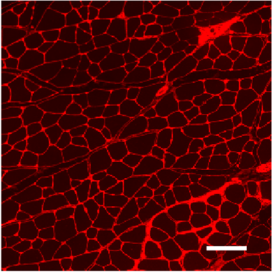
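This is a transverse section of skeletal muscle showing many muscle fibers cut across as polygonal profiles. Each fiber is bordered by a thin red outline and has a dark, unstained interior. The fibers vary somewhat in size, with smaller and larger profiles lying side by side. Groups of fibers are separated by thicker red bands of connective tissue, which broaden into bright red patches where several bundles meet. The fibers are tightly packed with little space between neighbouring outlines.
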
